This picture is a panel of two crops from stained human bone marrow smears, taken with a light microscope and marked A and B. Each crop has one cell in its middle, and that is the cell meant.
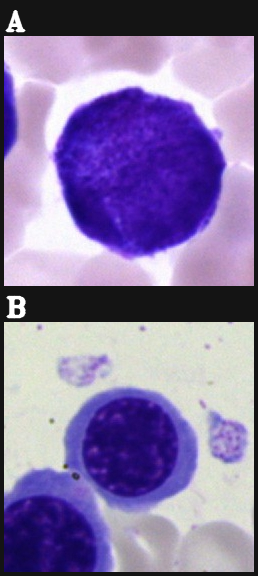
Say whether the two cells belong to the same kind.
no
